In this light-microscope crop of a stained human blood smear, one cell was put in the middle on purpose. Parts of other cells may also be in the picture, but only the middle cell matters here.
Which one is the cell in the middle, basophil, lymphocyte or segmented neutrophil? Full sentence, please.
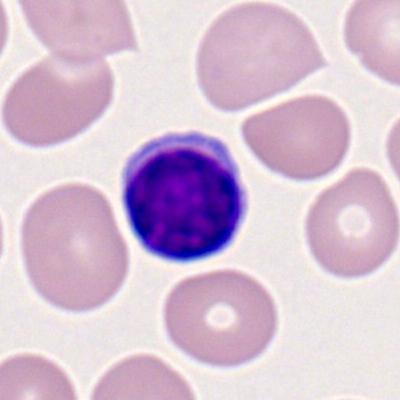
The cell the crop is centered on is a lymphocyte.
